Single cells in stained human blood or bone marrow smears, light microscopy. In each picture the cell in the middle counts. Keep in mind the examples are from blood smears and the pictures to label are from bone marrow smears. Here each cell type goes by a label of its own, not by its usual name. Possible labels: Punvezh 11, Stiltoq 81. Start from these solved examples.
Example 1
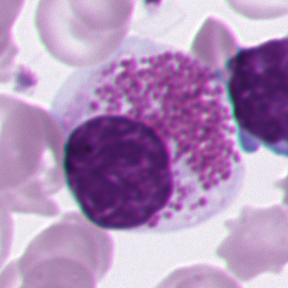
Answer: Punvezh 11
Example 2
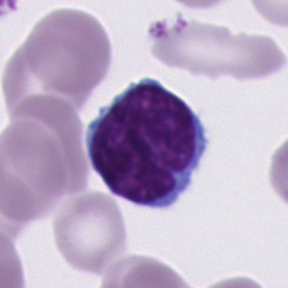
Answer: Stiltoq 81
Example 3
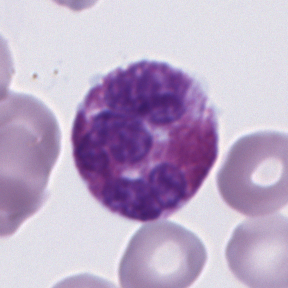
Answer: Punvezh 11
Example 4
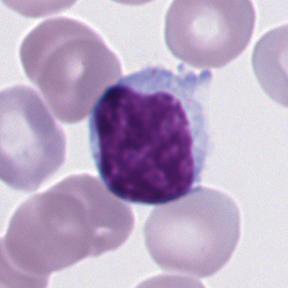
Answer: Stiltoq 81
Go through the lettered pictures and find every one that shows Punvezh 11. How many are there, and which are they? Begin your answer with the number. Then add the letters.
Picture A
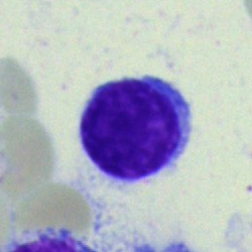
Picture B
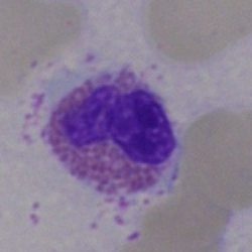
Count: 1 (B)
